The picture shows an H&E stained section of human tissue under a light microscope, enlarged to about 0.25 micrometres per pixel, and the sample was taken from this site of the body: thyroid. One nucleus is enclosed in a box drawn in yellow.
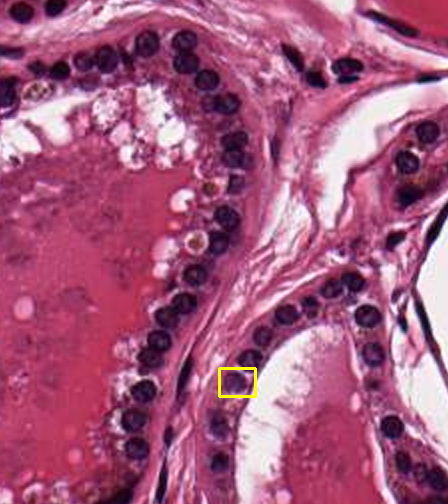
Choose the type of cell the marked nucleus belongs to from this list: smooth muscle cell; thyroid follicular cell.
thyroid follicular cell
